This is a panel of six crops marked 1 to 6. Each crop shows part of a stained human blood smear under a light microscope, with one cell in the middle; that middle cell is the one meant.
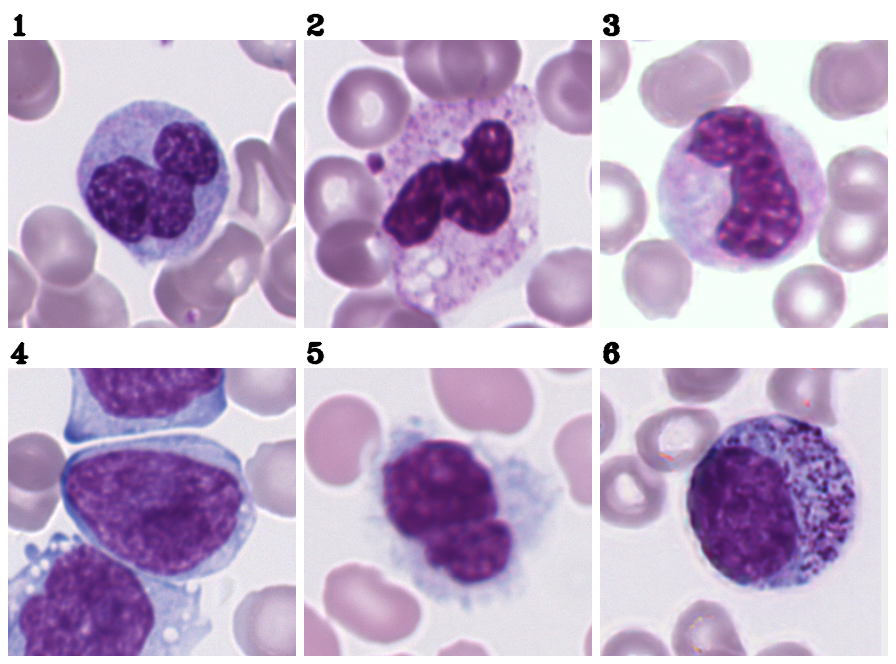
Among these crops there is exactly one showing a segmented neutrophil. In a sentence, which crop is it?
Crop 2 is the crop that displays a segmented neutrophil.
